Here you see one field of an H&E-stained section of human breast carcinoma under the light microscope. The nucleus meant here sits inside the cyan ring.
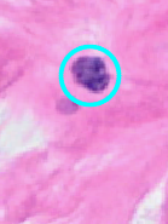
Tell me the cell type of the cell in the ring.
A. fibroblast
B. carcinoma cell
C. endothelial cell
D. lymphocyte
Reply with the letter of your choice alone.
D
